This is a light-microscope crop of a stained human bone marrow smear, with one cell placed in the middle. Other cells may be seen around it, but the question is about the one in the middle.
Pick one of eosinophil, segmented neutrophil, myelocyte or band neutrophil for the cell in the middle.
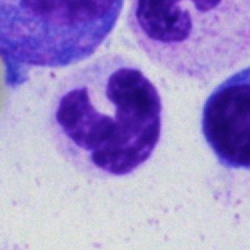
band neutrophil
